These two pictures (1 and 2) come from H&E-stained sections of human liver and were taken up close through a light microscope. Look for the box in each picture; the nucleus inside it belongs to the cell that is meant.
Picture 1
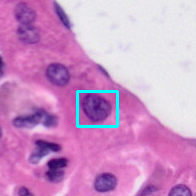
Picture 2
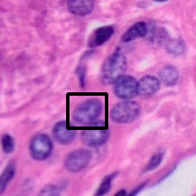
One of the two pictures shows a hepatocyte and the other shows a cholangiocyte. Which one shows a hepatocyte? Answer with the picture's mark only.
1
